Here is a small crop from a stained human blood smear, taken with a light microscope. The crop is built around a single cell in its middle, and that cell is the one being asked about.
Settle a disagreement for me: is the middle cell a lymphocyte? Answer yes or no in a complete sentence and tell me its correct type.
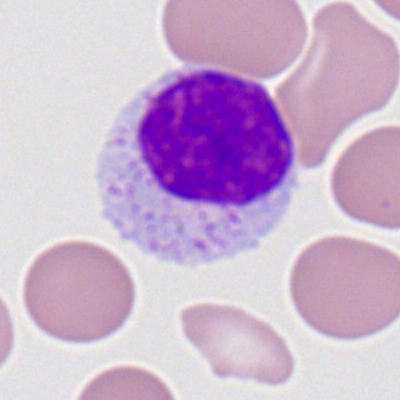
Yes, the cell in the middle of the crop is a lymphocyte.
